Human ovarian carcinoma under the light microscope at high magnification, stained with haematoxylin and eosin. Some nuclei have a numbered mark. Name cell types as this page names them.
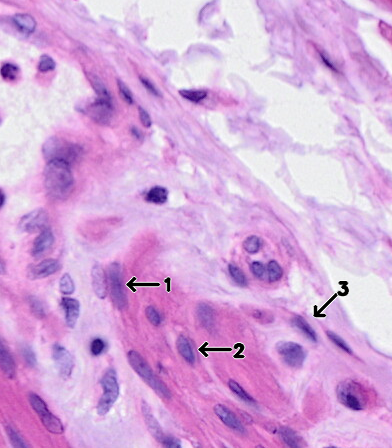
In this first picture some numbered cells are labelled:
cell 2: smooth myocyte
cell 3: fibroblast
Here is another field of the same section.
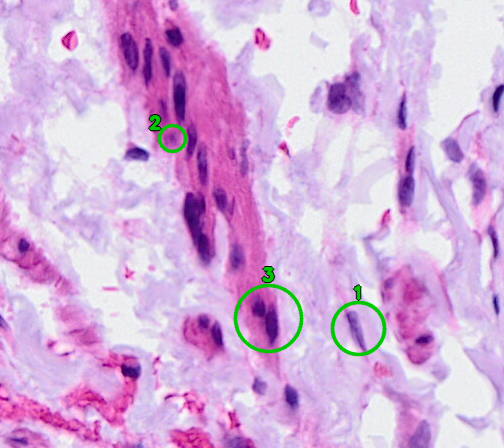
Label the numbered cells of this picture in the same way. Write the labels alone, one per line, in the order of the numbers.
fibroblast
smooth myocyte
smooth myocyte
